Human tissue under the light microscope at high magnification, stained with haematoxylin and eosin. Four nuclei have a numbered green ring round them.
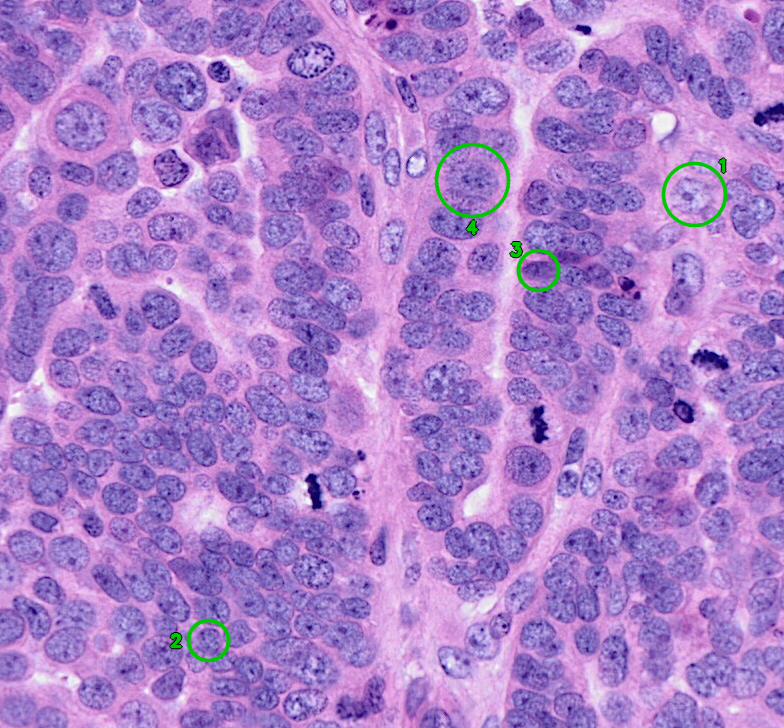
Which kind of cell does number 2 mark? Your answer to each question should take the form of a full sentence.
The numbered cell 2 in this field is a carcinoma cell.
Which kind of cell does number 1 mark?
Cell 1, among those numbered, is a fibroblast.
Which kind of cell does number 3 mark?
Number 3 is placed on a carcinoma cell here.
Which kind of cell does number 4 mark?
The cell whose nucleus carries the number 4 is a carcinoma cell.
